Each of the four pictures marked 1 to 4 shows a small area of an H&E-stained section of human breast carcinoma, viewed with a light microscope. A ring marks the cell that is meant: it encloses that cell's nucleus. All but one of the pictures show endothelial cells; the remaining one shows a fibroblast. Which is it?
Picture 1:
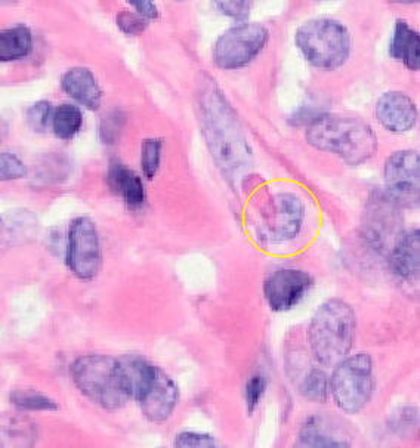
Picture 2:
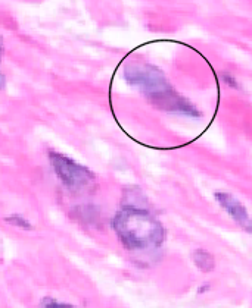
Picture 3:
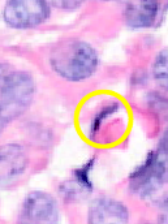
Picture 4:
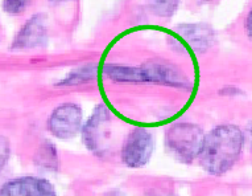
2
